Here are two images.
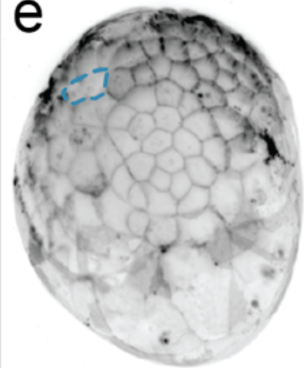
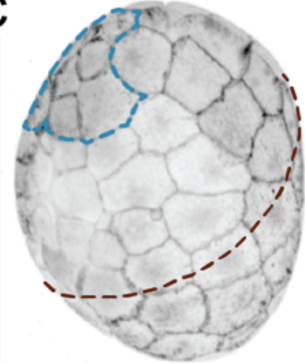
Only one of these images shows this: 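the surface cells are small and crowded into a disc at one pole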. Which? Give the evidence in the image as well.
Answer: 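First image: many small polygonal cells are packed densely at the upper pole above larger cells.
Hence: the first image.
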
